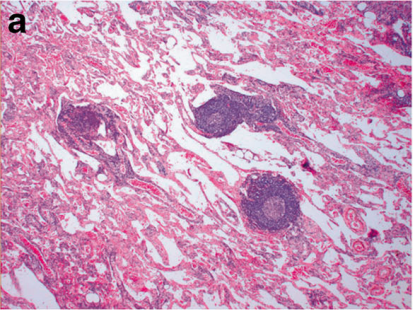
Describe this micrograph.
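Lymphatic malformation with lymph follicles forming within the lesion. Numerous thin-walled, irregular empty channels surround them.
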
